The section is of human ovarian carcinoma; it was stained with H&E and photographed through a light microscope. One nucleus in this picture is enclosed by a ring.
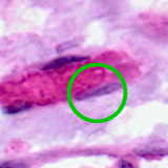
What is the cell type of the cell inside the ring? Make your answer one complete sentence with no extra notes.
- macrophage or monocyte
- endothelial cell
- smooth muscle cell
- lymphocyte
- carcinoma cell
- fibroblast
The identity of the cell inside the ring is that of an endothelial cell.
